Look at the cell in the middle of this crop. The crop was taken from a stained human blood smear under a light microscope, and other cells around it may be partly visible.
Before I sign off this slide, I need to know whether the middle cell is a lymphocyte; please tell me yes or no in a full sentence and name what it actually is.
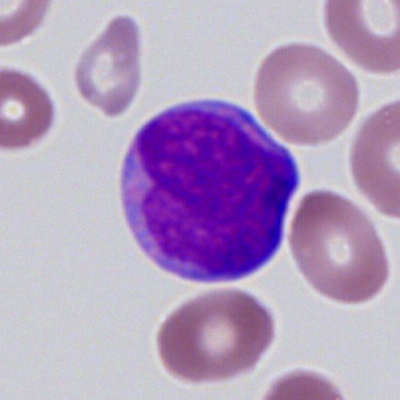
No, in this crop the central cell is a blast instead of a lymphocyte.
